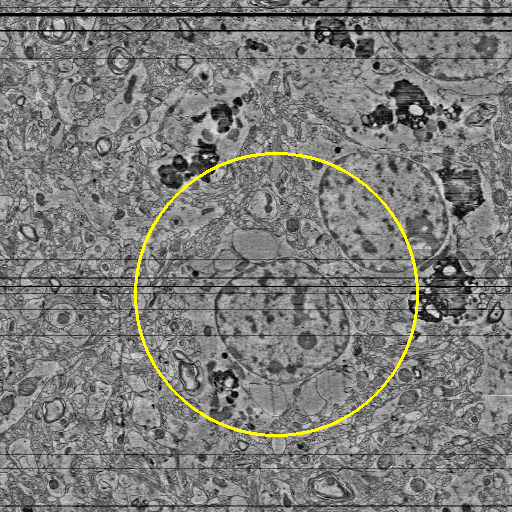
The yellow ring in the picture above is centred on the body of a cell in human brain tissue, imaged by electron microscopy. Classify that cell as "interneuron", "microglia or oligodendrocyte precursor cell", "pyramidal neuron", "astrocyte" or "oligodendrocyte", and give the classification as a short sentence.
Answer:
The cell in the middle of the ring is an astrocyte.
